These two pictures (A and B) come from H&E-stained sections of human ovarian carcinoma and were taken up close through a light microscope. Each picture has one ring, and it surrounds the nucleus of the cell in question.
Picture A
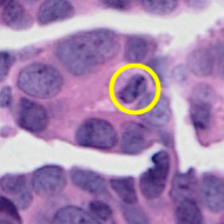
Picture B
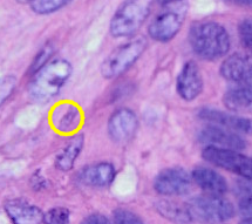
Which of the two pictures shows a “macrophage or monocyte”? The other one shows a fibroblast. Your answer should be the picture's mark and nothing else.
A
